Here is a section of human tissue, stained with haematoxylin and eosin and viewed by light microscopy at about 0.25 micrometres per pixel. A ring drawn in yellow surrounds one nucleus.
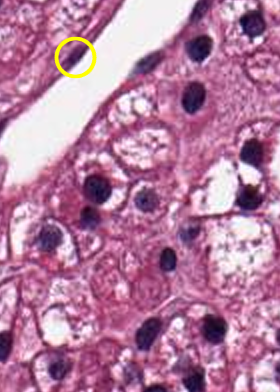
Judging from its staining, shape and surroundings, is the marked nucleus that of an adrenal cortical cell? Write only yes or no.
no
